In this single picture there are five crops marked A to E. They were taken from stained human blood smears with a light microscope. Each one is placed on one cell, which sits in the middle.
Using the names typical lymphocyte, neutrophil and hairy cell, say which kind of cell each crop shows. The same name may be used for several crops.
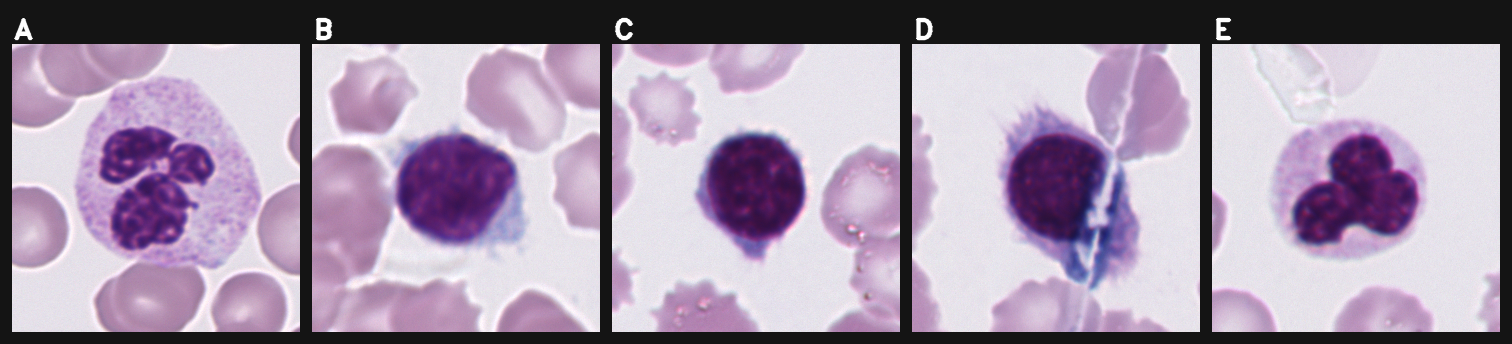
A: neutrophil
B: hairy cell
C: typical lymphocyte
D: hairy cell
E: neutrophil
